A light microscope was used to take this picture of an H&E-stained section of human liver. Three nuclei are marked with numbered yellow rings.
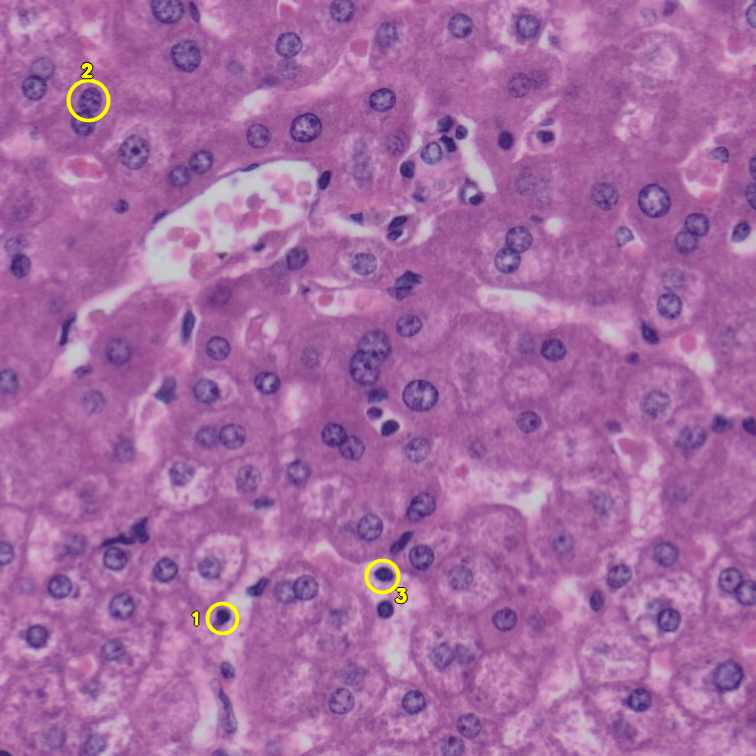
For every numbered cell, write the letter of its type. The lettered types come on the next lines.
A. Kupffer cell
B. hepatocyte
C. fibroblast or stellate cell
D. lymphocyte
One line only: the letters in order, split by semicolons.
D; B; D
